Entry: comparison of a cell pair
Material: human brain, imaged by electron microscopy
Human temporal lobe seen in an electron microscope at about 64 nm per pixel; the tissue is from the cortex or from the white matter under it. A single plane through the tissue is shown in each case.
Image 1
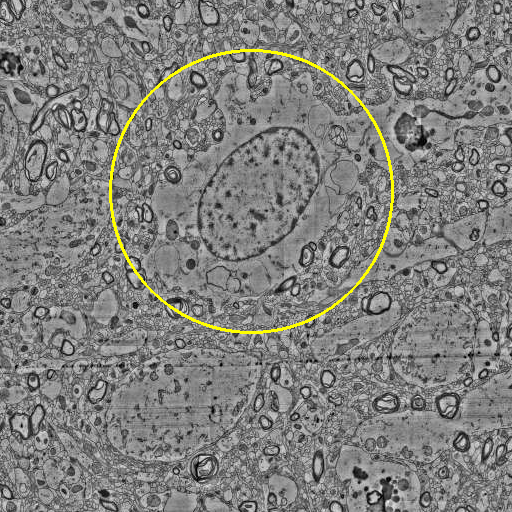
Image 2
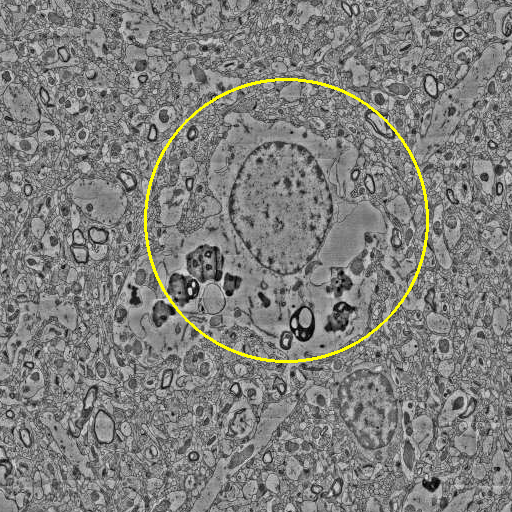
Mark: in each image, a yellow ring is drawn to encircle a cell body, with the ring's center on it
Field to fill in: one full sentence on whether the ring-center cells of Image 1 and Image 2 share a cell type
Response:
Yes, Image 1 and Image 2 each show a ring-center cell of one shared type.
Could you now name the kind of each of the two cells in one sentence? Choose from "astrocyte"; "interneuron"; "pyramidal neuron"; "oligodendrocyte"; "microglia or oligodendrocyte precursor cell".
Each of the two pictures has an astrocyte at the ring centre.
